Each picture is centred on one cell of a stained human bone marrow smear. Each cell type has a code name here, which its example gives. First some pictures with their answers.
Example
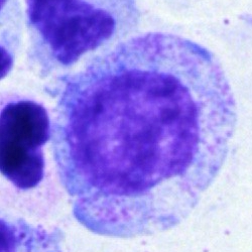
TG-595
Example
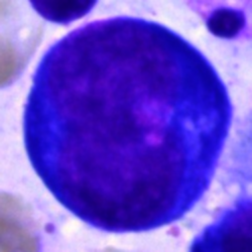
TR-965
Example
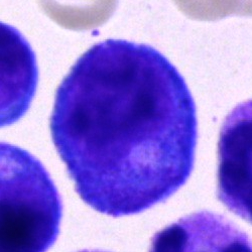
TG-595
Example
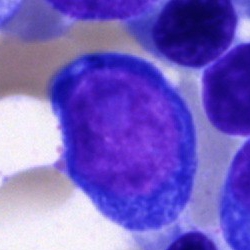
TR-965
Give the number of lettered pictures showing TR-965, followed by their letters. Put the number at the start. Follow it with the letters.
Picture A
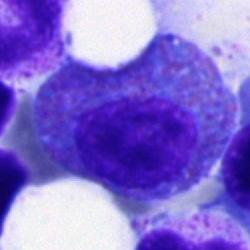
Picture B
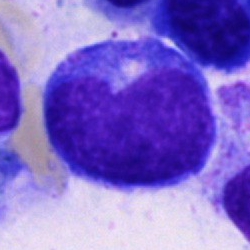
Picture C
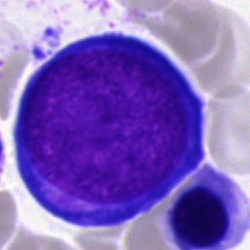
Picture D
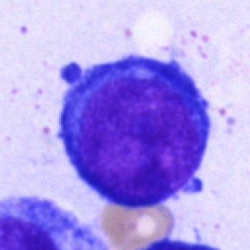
2: C, D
